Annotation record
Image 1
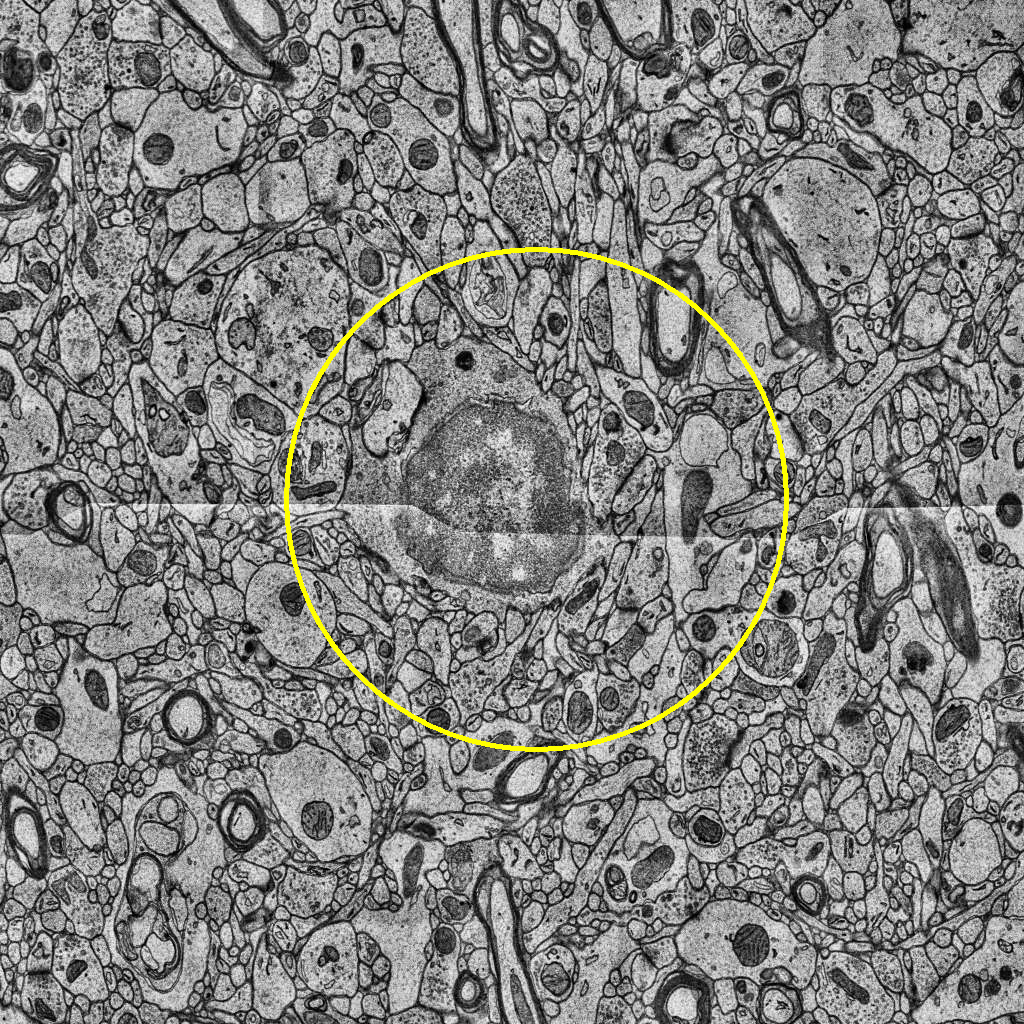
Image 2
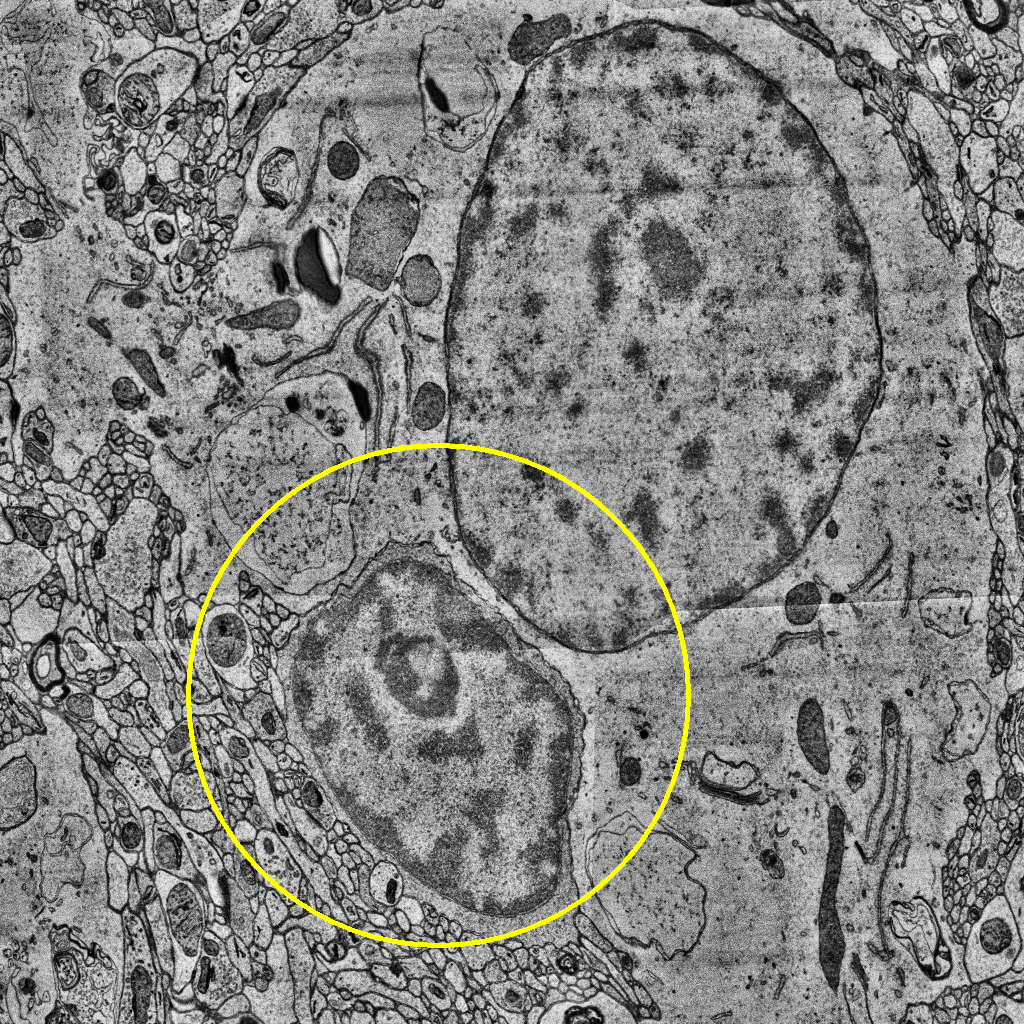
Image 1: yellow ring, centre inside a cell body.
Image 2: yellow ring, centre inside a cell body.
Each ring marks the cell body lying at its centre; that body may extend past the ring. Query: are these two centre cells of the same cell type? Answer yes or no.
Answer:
yes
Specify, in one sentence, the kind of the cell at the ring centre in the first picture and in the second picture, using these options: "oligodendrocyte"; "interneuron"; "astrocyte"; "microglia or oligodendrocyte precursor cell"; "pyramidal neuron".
Both cells are the same kind, each one being an oligodendrocyte.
